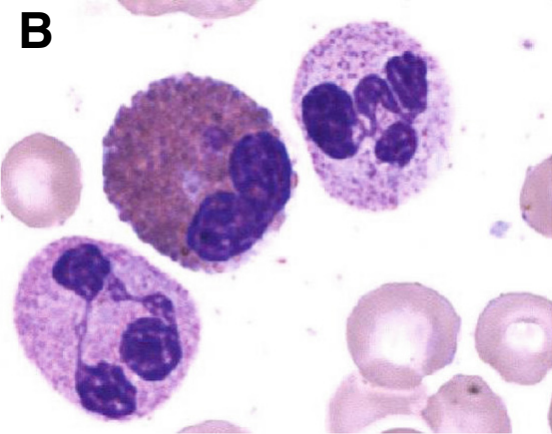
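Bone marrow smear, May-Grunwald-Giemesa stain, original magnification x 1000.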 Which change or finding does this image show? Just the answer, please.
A: abnormal nuclei encompassing 3 to 5 lobes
